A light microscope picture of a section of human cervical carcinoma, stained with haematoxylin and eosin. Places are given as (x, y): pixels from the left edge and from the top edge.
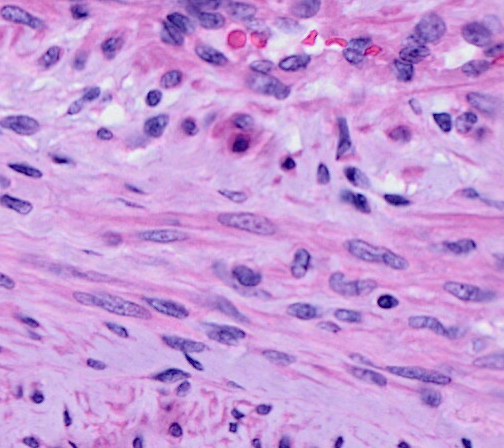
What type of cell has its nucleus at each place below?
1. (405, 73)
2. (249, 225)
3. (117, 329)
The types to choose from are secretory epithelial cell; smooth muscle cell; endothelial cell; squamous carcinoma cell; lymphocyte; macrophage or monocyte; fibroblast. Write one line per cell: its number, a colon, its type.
1: endothelial cell
2: smooth muscle cell
3: smooth muscle cell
